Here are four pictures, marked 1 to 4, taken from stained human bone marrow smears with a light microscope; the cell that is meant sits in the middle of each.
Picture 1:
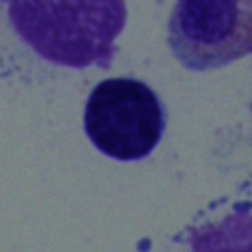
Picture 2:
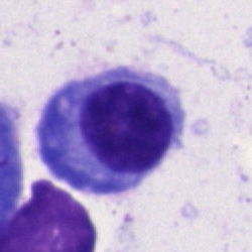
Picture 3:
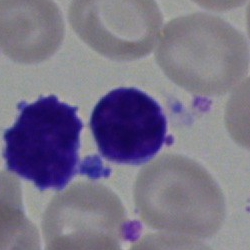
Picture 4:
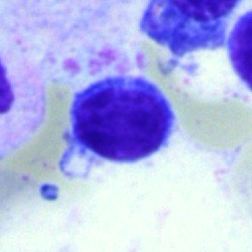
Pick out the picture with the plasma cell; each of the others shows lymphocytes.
2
